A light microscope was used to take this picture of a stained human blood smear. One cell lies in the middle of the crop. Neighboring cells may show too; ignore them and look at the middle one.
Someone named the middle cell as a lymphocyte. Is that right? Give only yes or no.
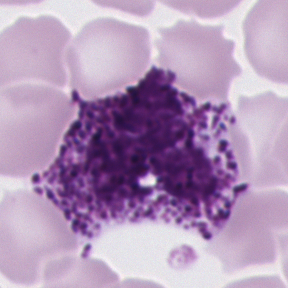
no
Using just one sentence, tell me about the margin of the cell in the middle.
The cell is outlined unevenly, the border being ragged or extended into projections.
